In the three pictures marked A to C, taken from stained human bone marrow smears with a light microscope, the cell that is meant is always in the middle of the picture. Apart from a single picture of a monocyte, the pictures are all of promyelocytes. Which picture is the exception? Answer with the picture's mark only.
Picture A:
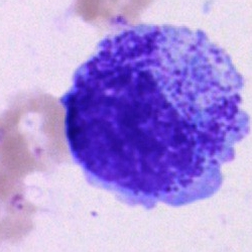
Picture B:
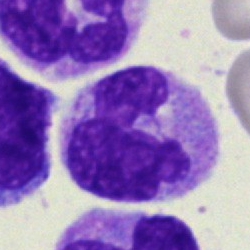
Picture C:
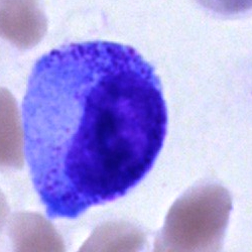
B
